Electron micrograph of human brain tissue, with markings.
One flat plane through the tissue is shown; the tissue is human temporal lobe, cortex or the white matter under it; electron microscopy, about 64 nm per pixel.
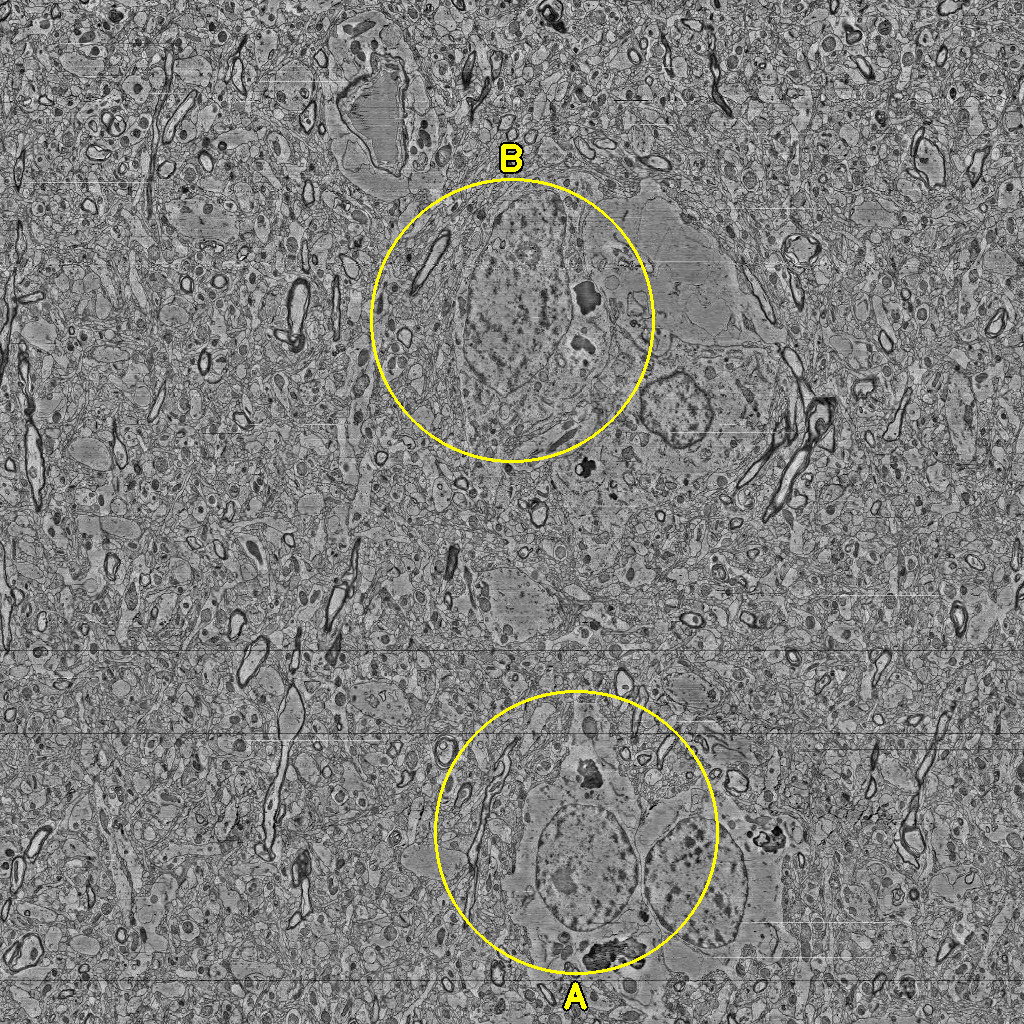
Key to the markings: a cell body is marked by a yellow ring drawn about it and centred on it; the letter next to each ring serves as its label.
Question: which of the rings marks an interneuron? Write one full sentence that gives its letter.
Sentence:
In this picture, the ring marking that kind of cell has the letter B.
